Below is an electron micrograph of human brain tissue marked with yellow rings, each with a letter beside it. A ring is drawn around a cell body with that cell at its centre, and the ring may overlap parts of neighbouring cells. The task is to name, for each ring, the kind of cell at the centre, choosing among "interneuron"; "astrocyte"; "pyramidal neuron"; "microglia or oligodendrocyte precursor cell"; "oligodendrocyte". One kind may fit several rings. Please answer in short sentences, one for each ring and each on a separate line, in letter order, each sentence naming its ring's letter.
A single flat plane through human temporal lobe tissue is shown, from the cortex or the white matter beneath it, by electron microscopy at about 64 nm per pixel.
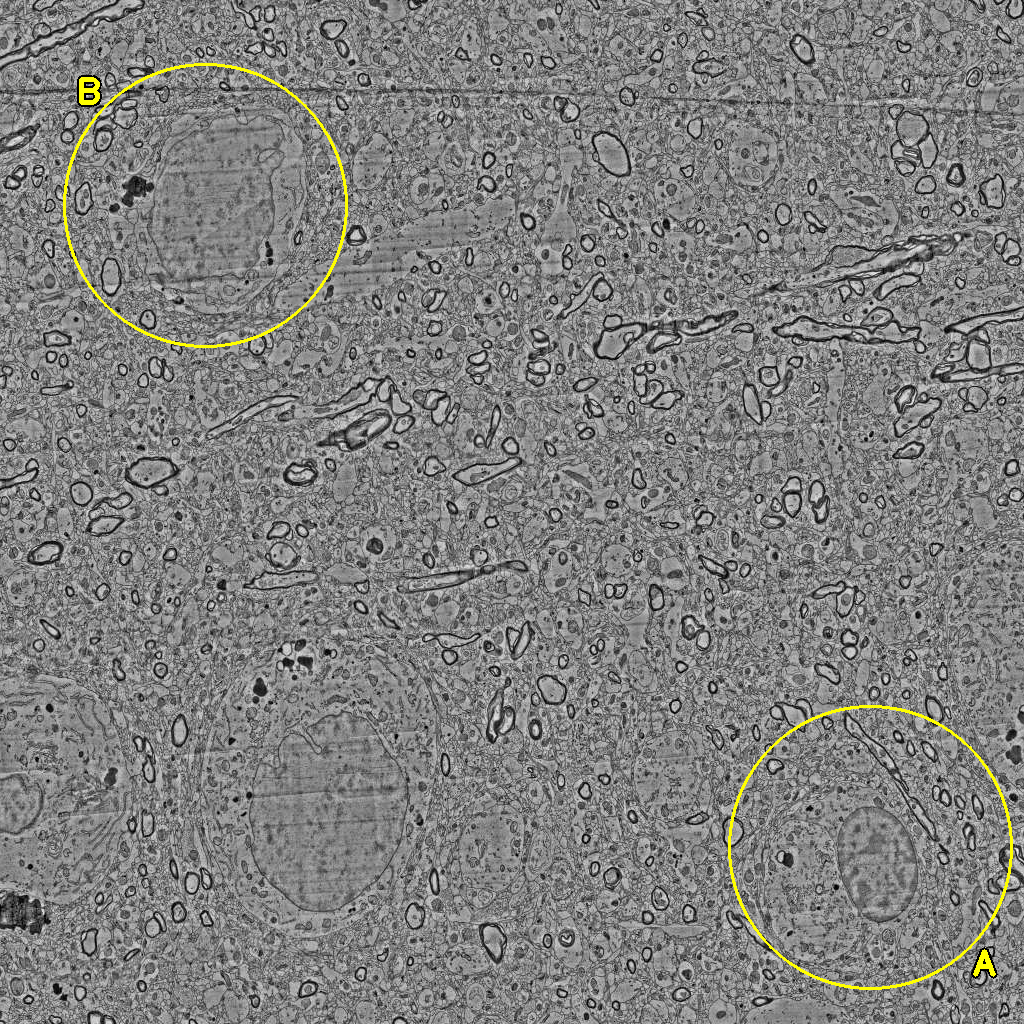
The ring with letter A is centred on an oligodendrocyte.
The ring with letter B is centred on an interneuron.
